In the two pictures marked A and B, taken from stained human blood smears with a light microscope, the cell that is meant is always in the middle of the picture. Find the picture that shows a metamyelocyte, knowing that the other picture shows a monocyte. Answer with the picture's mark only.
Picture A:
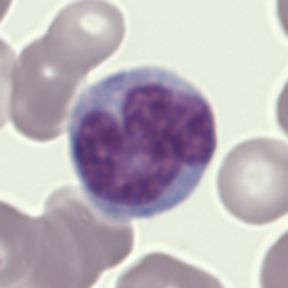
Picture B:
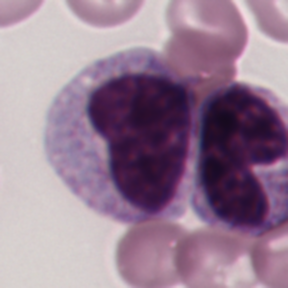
B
